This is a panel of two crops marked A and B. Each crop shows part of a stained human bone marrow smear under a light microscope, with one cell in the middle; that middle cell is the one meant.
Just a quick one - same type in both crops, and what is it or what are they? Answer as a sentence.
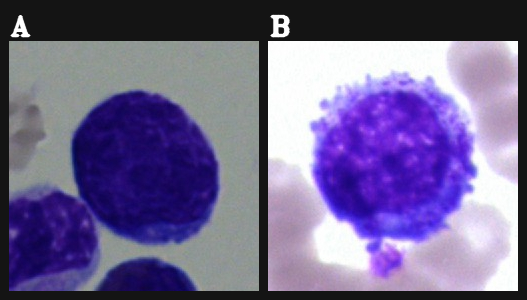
No, crop A features a blast, and crop B features a promyelocyte.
